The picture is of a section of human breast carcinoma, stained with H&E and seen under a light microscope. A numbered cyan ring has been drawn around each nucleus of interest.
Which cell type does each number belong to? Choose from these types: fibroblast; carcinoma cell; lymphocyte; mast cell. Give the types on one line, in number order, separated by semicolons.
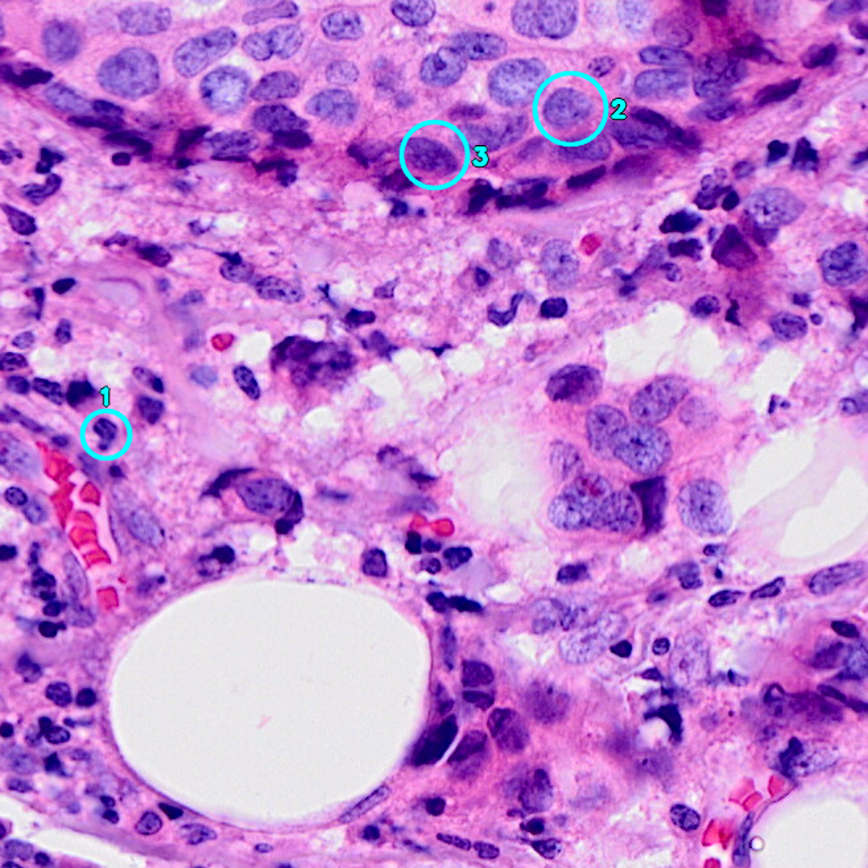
lymphocyte; carcinoma cell; carcinoma cell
